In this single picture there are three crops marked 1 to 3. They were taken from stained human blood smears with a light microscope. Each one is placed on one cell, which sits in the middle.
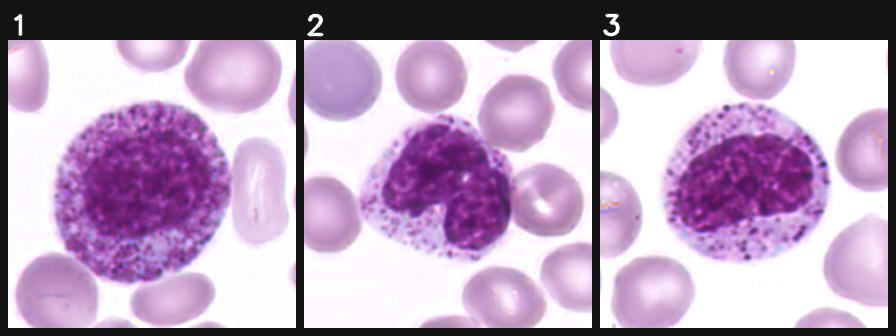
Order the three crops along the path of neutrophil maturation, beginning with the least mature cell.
1, 3, 2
